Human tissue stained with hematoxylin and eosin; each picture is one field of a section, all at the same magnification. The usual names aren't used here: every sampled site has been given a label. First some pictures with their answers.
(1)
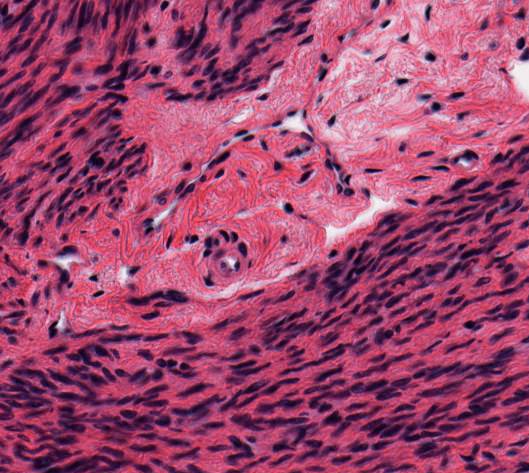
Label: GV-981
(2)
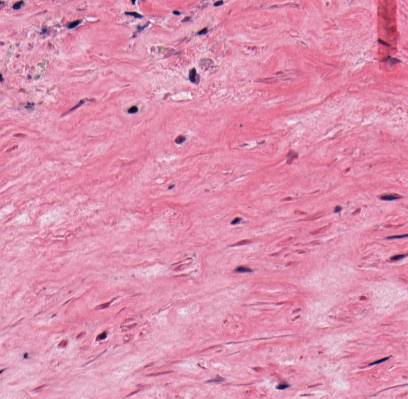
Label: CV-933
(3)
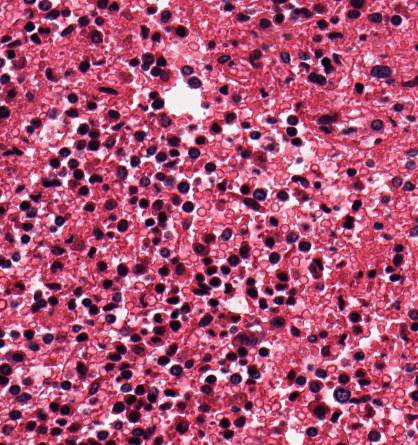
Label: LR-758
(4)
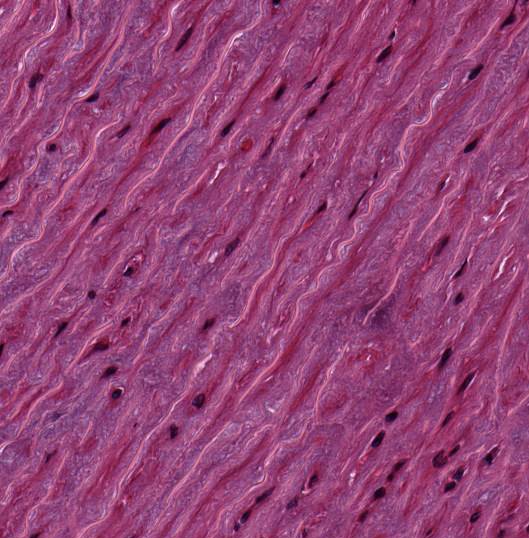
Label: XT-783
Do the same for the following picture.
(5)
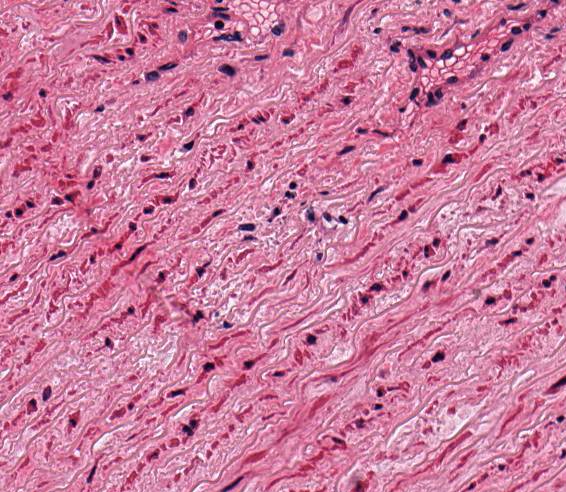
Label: XT-783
